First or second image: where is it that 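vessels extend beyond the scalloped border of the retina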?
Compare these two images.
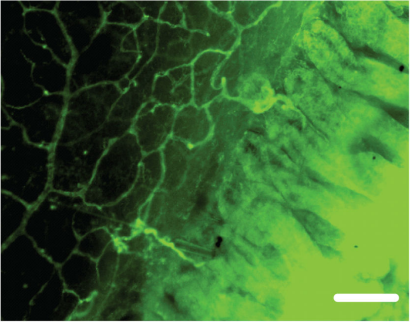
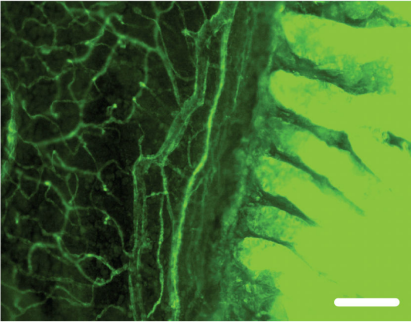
The first image.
